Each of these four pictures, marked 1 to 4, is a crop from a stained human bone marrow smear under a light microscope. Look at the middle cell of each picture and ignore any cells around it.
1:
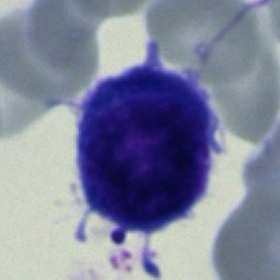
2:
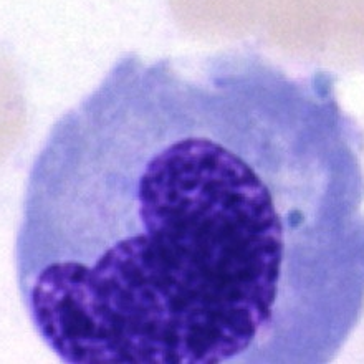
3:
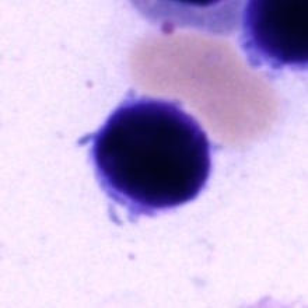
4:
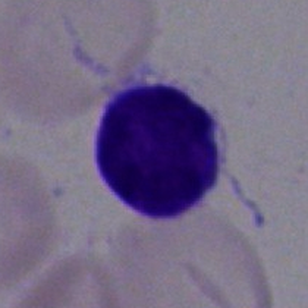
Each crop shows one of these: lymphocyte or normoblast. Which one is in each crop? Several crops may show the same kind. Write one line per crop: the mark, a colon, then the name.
1: lymphocyte
2: normoblast
3: lymphocyte
4: lymphocyte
